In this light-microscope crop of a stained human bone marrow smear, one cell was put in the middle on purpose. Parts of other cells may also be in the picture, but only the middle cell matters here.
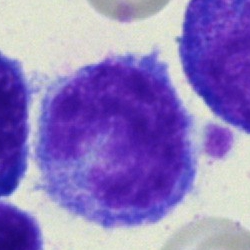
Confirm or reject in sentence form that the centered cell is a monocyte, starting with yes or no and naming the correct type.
Yes, the cell in the middle of this smear crop is a monocyte.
